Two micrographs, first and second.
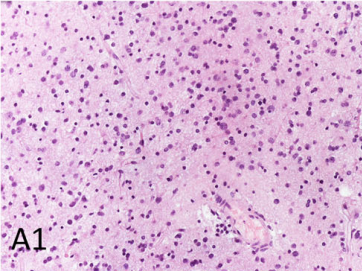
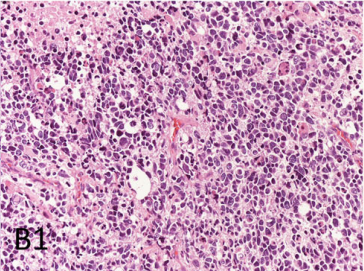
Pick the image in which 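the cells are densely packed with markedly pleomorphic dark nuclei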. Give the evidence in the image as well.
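Second image: crowded sheets of cells with dark nuclei of varied size and shape. First image: scattered small nuclei in abundant pale fibrillary background. That points to this answer: the second image.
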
